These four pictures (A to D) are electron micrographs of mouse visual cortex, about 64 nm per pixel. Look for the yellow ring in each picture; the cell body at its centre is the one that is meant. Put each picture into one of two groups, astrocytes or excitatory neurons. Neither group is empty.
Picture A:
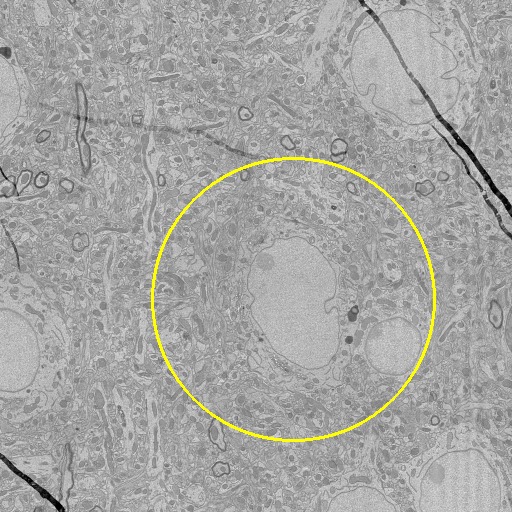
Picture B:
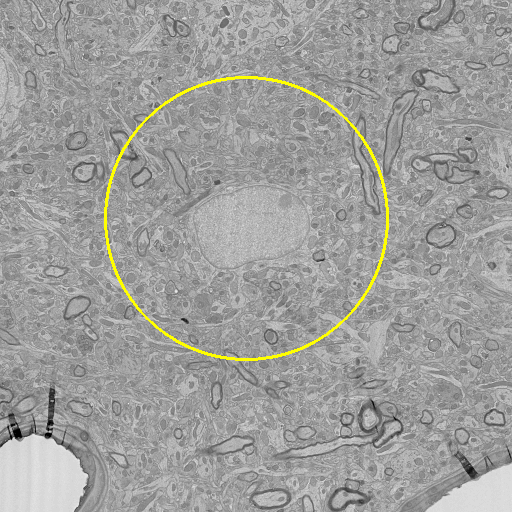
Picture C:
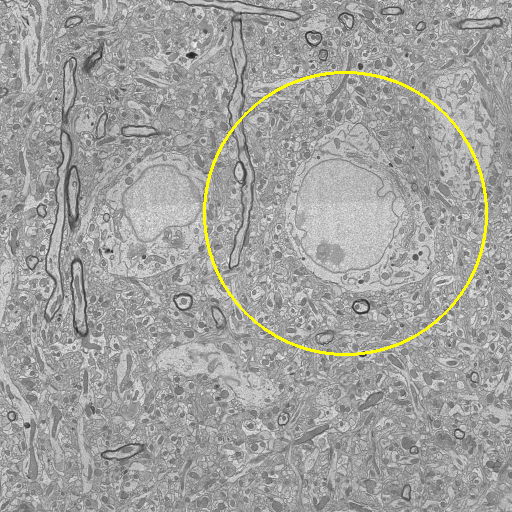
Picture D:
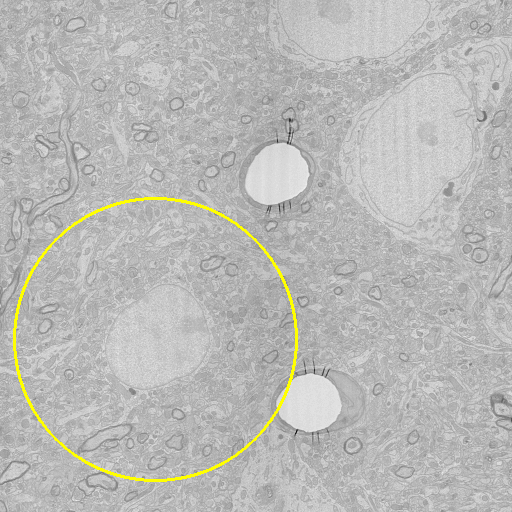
Pictures B and D show astrocytes, while pictures A and C show excitatory neurons.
